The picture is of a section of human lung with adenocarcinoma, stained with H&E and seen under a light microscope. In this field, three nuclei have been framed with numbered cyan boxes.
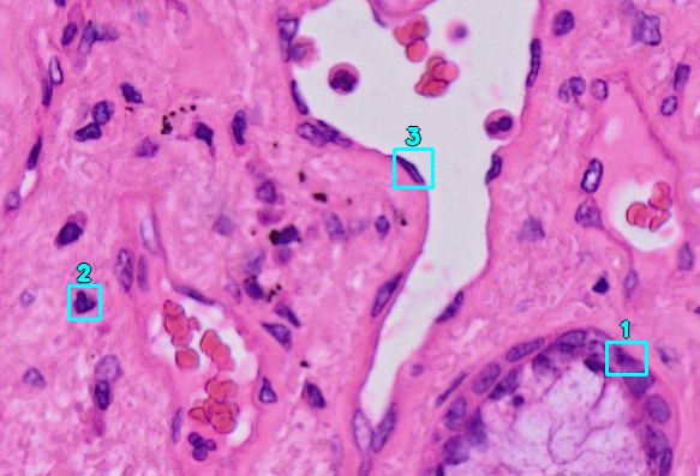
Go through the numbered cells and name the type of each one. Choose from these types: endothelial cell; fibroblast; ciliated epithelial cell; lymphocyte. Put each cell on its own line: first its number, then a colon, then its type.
1: ciliated epithelial cell
2: lymphocyte
3: endothelial cell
